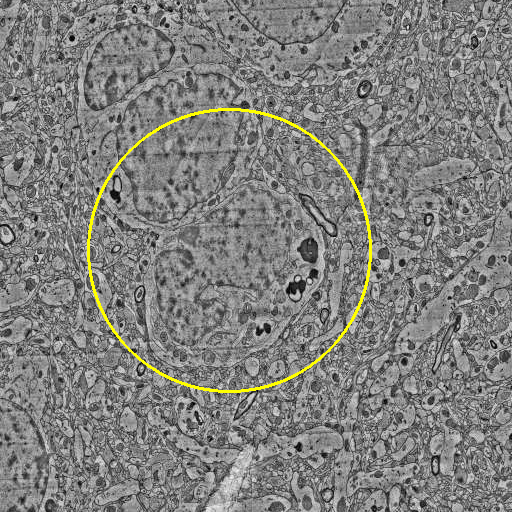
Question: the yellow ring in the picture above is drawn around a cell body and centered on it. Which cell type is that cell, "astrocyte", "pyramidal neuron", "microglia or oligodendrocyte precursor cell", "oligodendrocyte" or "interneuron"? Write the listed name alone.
interneuron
